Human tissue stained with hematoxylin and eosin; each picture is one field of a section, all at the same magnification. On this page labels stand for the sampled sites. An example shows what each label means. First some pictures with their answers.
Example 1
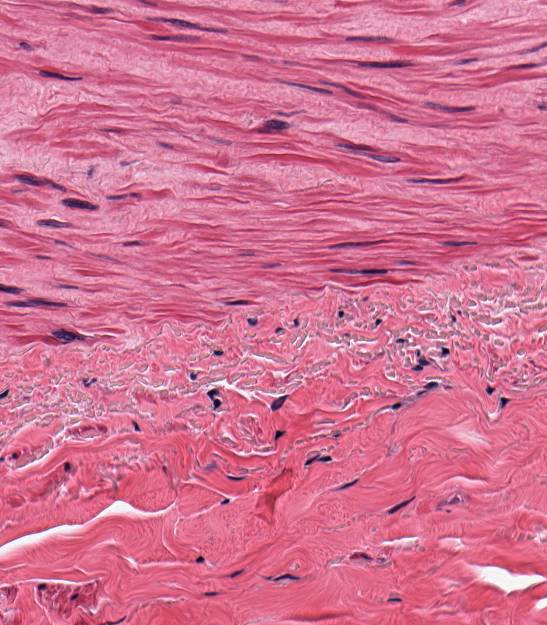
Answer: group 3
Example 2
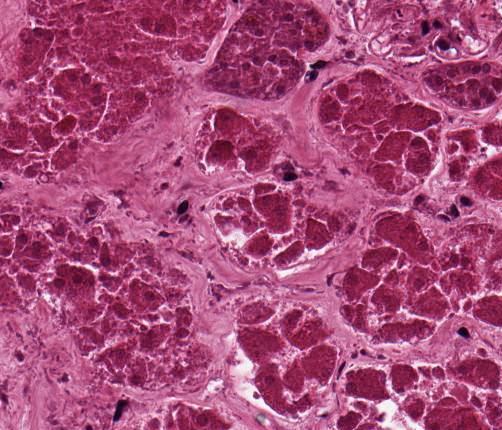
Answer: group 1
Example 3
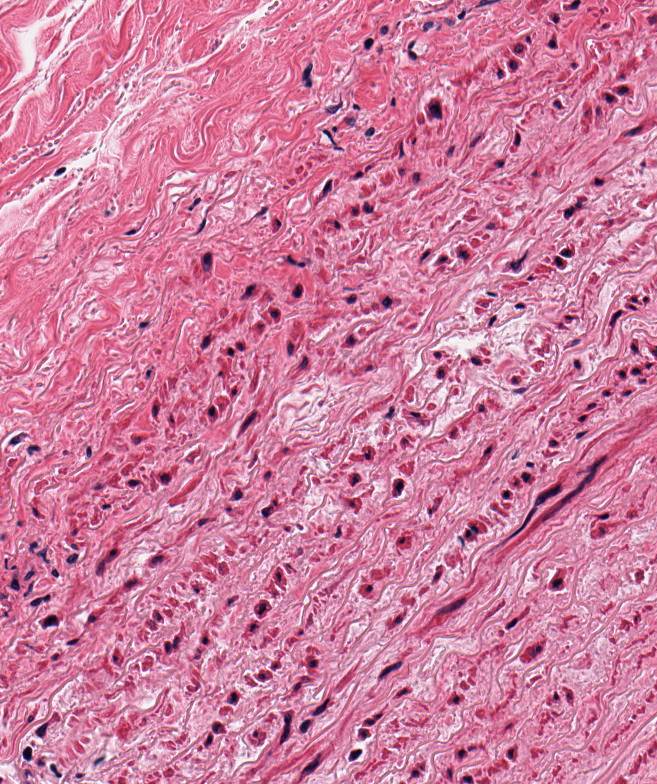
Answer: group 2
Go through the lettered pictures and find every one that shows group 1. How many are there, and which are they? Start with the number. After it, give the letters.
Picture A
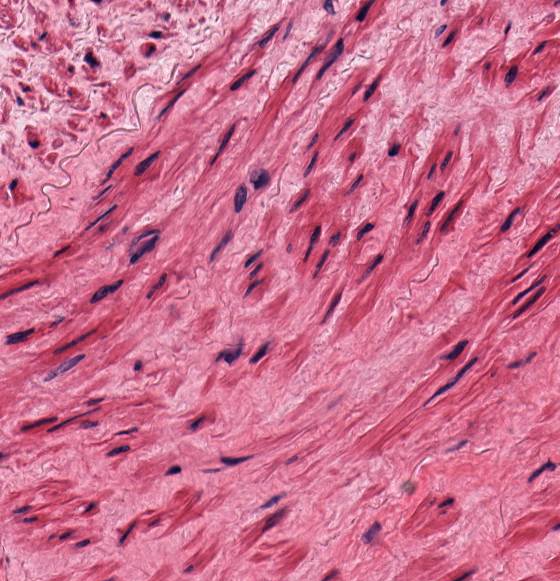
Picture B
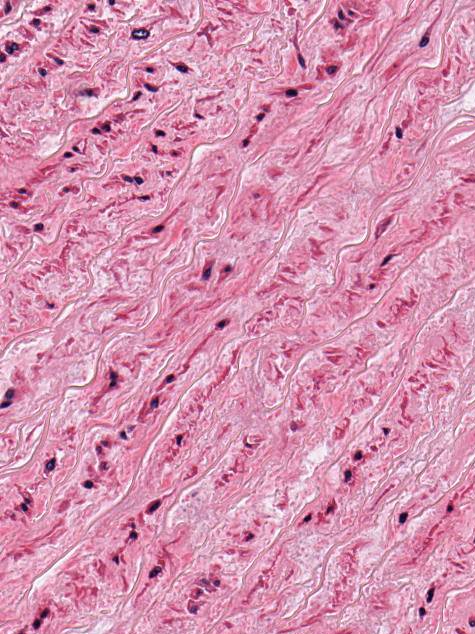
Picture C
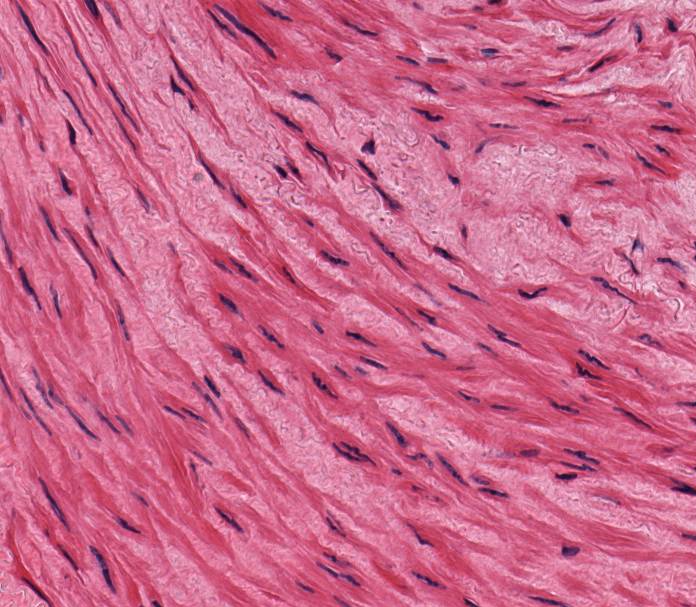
0, none of them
